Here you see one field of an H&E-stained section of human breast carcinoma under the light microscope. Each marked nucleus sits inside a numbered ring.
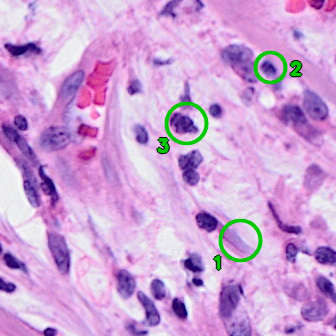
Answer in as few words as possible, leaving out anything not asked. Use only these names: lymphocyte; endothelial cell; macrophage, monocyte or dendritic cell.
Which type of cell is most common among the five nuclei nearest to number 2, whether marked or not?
macrophage, monocyte or dendritic cell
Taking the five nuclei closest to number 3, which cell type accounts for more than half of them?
lymphocyte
